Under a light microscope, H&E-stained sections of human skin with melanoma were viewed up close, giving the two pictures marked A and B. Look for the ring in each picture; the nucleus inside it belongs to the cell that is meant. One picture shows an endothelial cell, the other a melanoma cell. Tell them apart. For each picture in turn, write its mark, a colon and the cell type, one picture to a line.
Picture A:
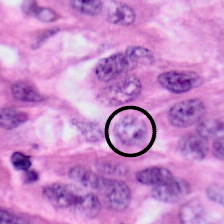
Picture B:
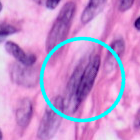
A: melanoma cell
B: endothelial cell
